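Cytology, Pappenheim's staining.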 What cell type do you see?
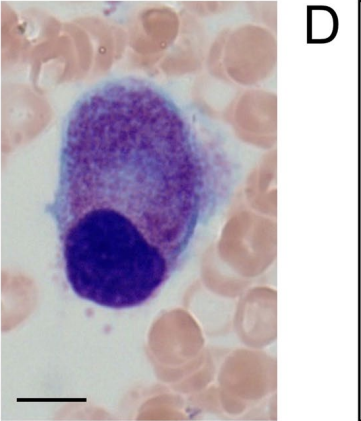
dysplastic megakaryocyte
